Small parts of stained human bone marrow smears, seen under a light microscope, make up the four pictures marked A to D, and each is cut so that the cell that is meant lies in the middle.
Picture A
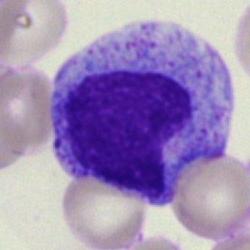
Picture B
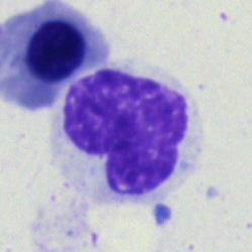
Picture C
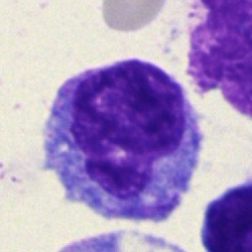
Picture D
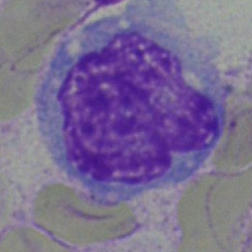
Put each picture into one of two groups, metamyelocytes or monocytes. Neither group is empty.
A: metamyelocyte
B: metamyelocyte
C: monocyte
D: monocyte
